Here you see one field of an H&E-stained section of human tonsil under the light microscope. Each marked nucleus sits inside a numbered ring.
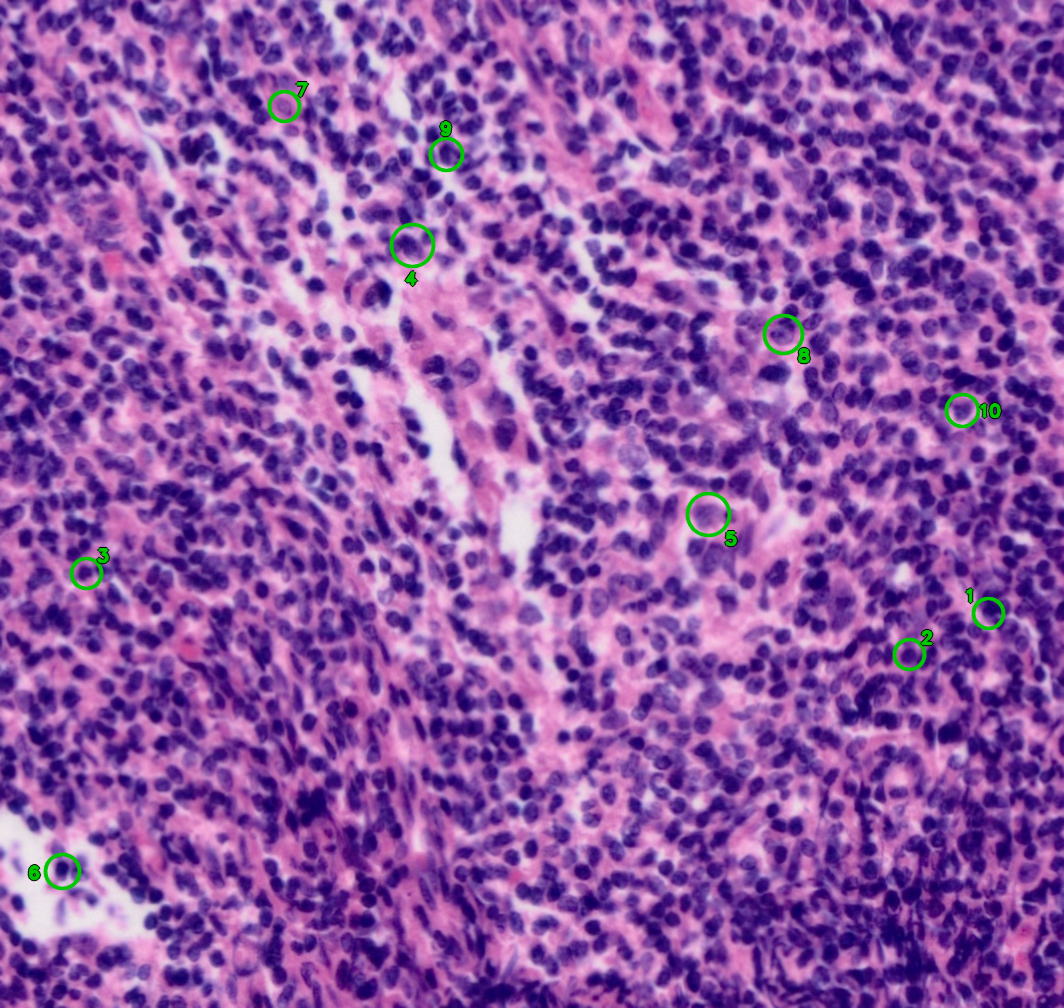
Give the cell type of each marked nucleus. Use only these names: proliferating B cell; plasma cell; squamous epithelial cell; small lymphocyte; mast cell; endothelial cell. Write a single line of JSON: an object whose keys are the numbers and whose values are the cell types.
{"1": "small lymphocyte", "2": "small lymphocyte", "3": "small lymphocyte", "4": "proliferating B cell", "5": "proliferating B cell", "6": "small lymphocyte", "7": "endothelial cell", "8": "proliferating B cell", "9": "small lymphocyte", "10": "small lymphocyte"}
